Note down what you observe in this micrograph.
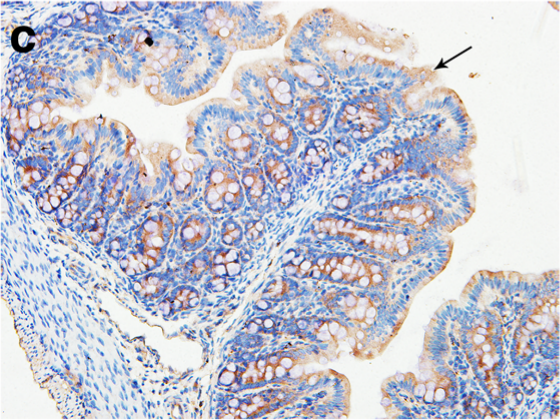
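This is colonic mucosa with folds lined by a single layer of tall columnar epithelial cells, and below them tubular glands packed with pale, rounded goblet cells, set in a cellular lamina propria over smooth muscle at the lower left. Brown stain runs along the luminal surface of the lining epithelium and outlines the glandular epithelium, while the nuclei and stroma are blue.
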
